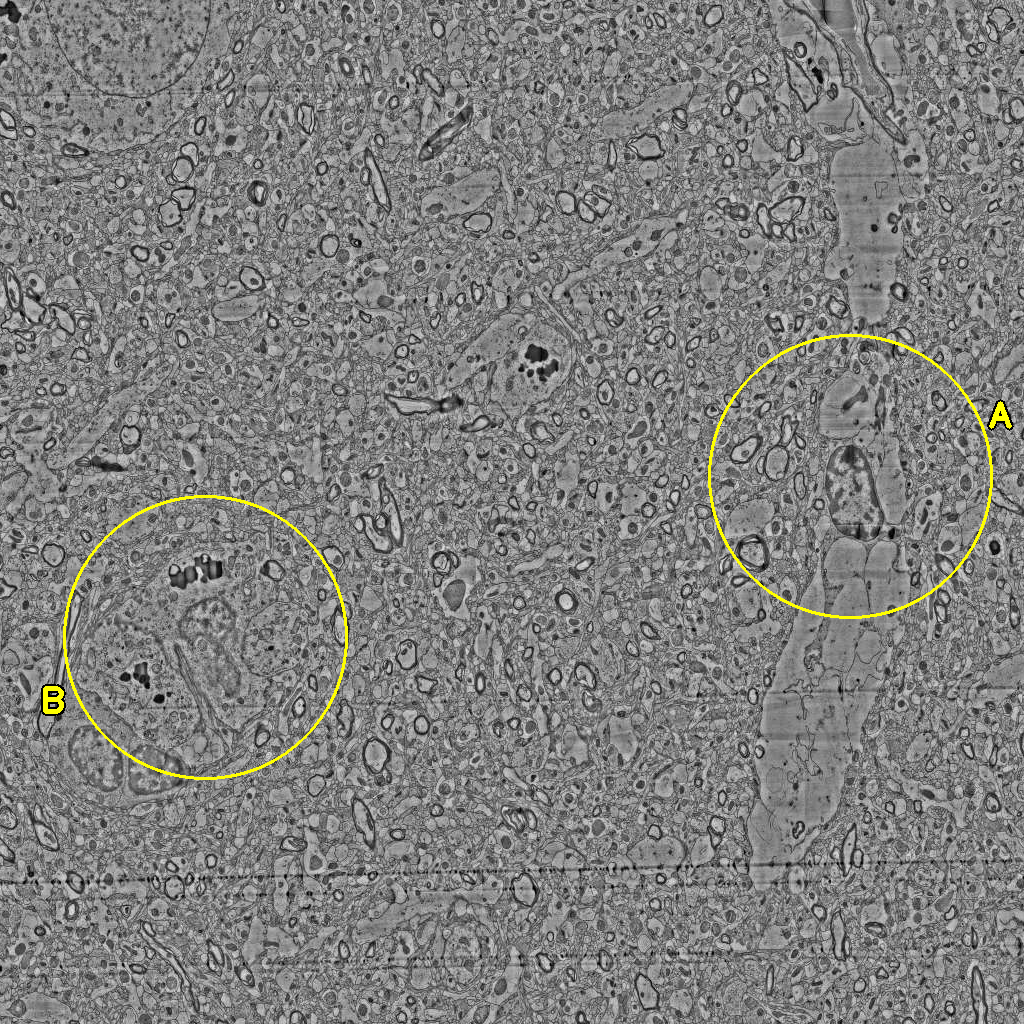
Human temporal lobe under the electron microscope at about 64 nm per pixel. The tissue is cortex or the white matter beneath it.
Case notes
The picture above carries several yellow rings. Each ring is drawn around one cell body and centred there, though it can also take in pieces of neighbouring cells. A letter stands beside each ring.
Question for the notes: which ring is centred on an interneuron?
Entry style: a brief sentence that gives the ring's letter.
Ring B is centred on it.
